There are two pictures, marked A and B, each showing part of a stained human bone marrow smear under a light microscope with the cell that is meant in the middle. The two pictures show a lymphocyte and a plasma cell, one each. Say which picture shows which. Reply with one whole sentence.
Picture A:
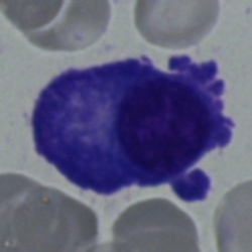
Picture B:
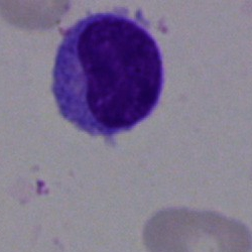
In picture A the cell is a plasma cell; in picture B, a lymphocyte.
